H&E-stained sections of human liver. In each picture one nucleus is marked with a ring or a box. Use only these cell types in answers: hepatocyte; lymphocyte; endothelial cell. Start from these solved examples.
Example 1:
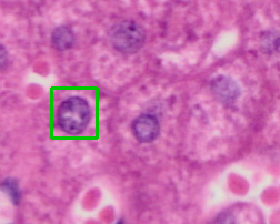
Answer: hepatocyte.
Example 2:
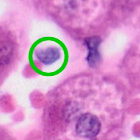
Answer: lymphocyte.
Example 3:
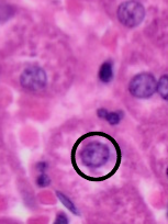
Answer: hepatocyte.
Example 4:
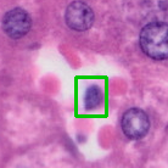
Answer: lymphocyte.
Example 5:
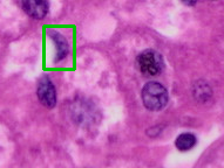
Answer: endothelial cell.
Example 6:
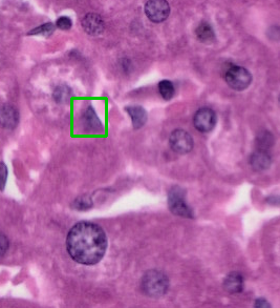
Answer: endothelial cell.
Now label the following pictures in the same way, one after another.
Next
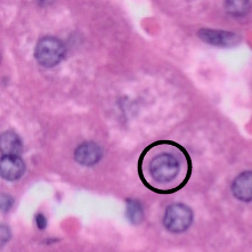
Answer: hepatocyte.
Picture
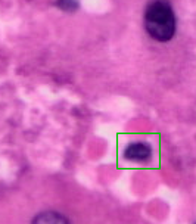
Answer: lymphocyte.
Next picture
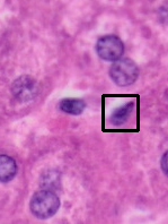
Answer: endothelial cell.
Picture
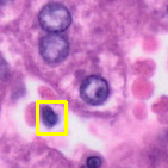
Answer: lymphocyte.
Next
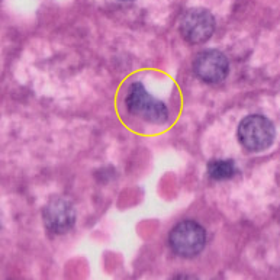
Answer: endothelial cell.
